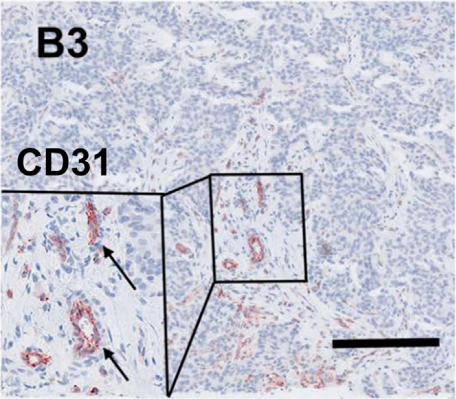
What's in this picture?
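The tumour cells form large, closely packed sheets and nests with pale blue nuclei, and they take up none of the red-brown colour. Between the nests lies paler, looser stroma, and this is where the small stained vessels are found. In the enlarged inset the vessels appear as red-brown rings and loops, some with an open lumen, lined by flattened cells. The vessels are few and lie mainly in the stroma, not inside the tumour cell nests.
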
